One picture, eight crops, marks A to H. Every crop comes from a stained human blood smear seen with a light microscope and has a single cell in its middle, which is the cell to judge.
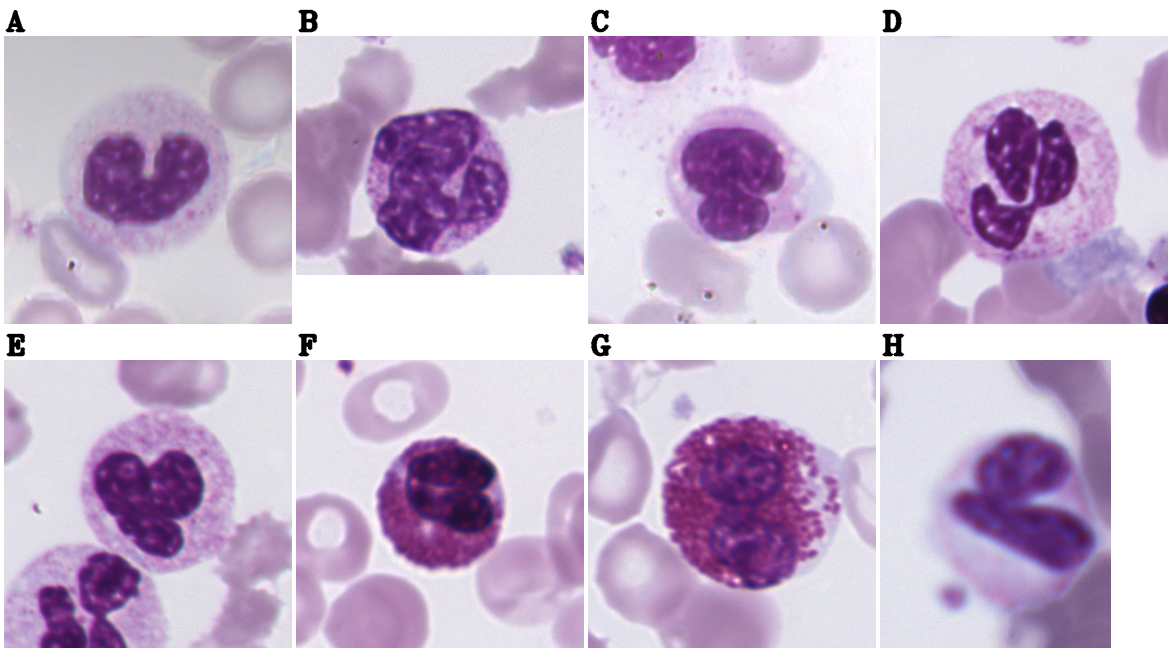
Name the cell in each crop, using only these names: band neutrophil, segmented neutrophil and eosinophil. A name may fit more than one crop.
A: band neutrophil
B: segmented neutrophil
C: band neutrophil
D: segmented neutrophil
E: segmented neutrophil
F: eosinophil
G: eosinophil
H: segmented neutrophil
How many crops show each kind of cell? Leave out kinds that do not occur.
segmented neutrophil: 4
band neutrophil: 2
eosinophil: 2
